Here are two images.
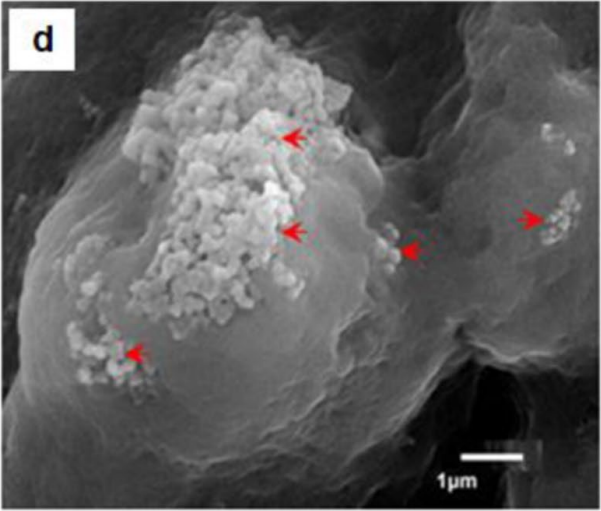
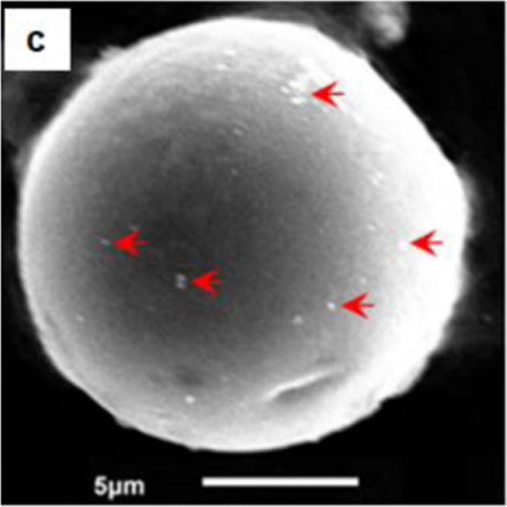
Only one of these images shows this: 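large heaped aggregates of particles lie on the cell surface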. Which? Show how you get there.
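Second image: only a few tiny isolated bright dots lie scattered on the cell surface. First image: large clusters of bright granules are piled on the cell surface.
Answer: the first image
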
